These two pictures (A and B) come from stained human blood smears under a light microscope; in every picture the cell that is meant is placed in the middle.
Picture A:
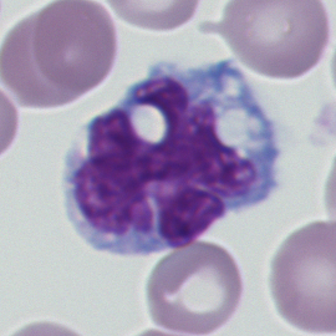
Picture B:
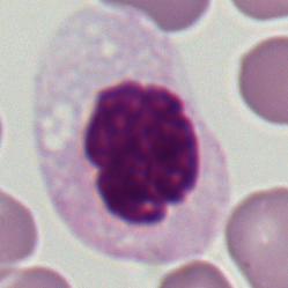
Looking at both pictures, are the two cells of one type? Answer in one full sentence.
No. Picture A shows a monocyte, but picture B shows a segmented neutrophil.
